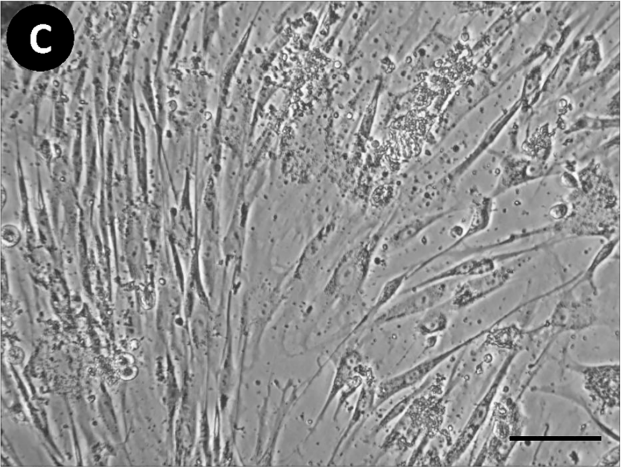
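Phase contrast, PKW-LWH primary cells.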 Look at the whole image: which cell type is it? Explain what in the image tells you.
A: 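Adherent cells are elongated and spindle shaped. Cells have tapering bipolar processes. Cells lie roughly parallel in loose streams.
Fibroblast cells.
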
